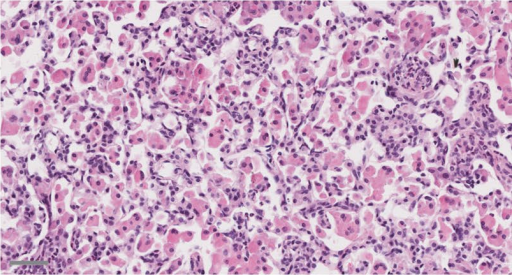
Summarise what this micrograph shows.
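This is lung tissue in which the normal open alveolar architecture is almost entirely lost, the area being heavily consolidated. The airspaces are filled by many large cells with abundant pink, eosinophilic cytoplasm and round purple nuclei, lying in clusters and sheets. Between them are more densely packed cells with smaller dark purple nuclei, giving a crowded, solid appearance. The overall picture is one of a dense cellular filling of the airspaces rather than the thin-walled alveoli of normal lung.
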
